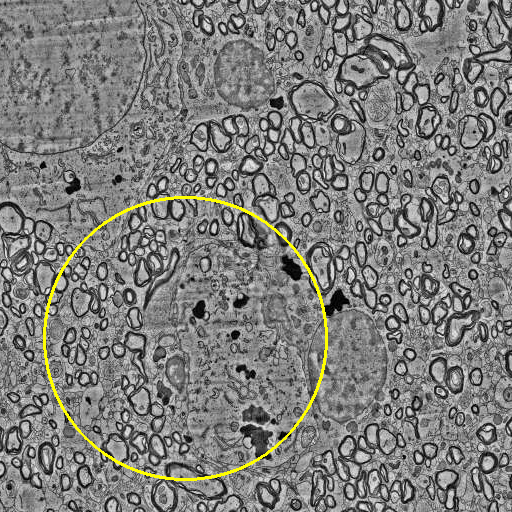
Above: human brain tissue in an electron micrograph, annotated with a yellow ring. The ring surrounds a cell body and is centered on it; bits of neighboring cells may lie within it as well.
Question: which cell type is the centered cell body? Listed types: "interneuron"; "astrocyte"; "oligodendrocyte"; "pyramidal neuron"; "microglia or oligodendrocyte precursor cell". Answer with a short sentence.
The centered cell body is a microglial cell or oligodendrocyte precursor cell.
